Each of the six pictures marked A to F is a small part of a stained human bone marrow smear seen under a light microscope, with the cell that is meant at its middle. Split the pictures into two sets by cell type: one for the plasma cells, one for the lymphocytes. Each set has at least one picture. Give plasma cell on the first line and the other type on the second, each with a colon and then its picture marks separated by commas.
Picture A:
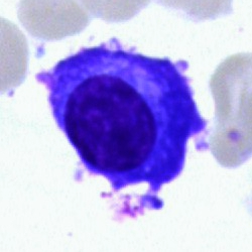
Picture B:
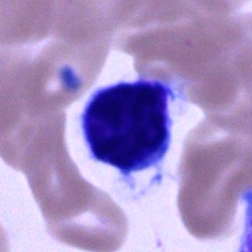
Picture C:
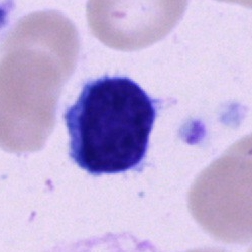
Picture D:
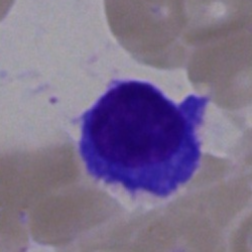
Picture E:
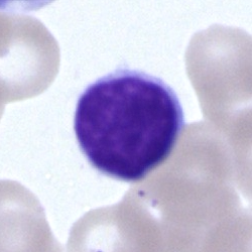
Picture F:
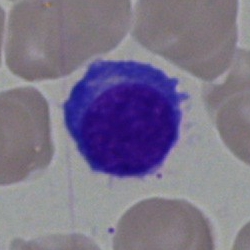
plasma cell: A, D, F
lymphocyte: B, C, E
